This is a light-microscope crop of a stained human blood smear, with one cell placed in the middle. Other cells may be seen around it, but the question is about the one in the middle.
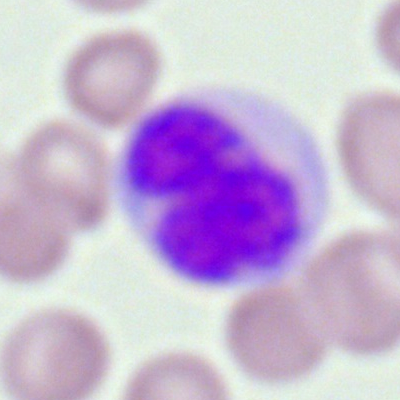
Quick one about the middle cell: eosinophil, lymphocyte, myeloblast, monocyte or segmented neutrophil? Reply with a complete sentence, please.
The cell at the centre of the field is a monocyte.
